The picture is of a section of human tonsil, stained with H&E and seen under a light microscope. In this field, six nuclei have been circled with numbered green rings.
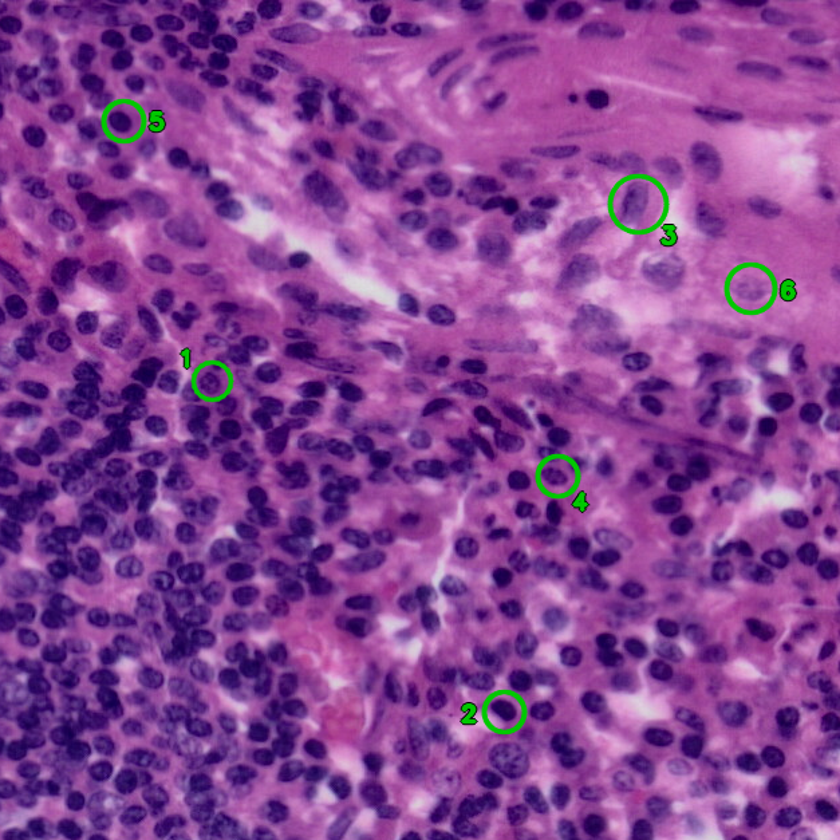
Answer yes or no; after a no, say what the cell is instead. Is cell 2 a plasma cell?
Yes.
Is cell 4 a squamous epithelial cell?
No, it is a plasma cell.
